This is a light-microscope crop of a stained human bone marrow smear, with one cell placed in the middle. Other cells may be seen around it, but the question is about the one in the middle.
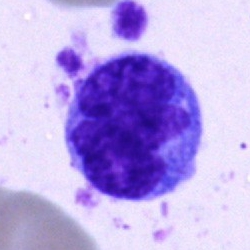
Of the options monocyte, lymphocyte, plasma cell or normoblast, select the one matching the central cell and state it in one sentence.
The central cell in this smear crop is a monocyte.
